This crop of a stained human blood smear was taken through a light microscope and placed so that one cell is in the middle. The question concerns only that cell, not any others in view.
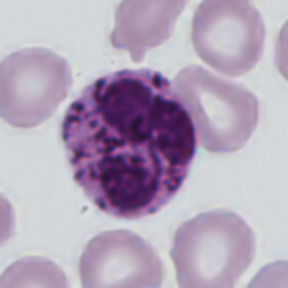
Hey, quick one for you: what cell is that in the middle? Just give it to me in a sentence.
Framed in the middle of the crop is a basophil.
